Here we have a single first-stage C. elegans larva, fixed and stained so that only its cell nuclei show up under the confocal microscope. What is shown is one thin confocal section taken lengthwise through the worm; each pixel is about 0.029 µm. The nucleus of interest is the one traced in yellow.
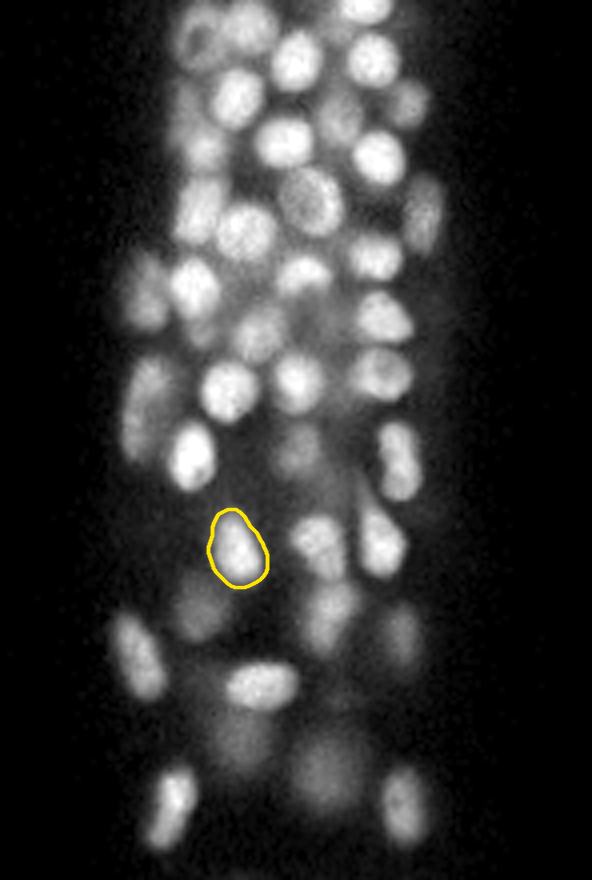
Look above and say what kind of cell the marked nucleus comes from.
pharyngeal marginal cell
